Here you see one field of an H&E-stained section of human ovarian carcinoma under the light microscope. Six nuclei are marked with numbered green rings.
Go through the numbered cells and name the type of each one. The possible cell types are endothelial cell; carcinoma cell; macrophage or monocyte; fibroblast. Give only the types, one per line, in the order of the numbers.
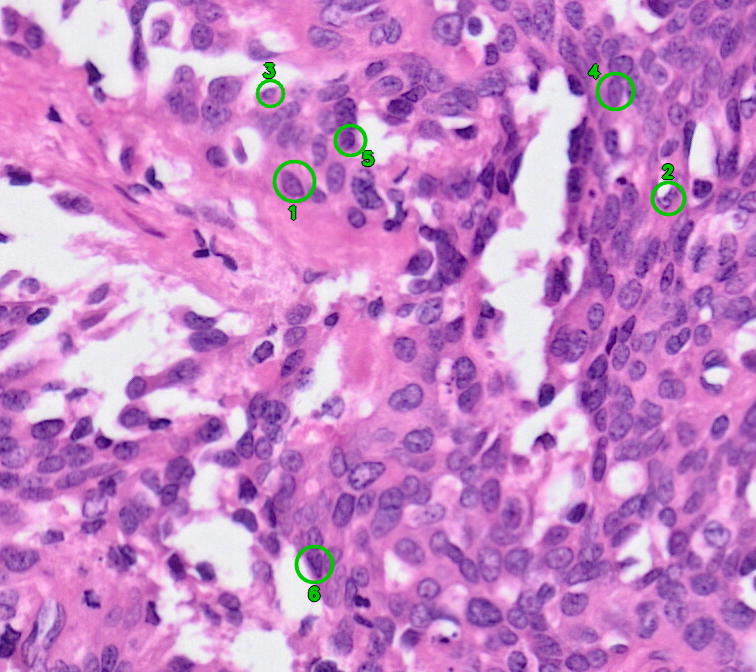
carcinoma cell
endothelial cell
macrophage or monocyte
carcinoma cell
carcinoma cell
carcinoma cell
